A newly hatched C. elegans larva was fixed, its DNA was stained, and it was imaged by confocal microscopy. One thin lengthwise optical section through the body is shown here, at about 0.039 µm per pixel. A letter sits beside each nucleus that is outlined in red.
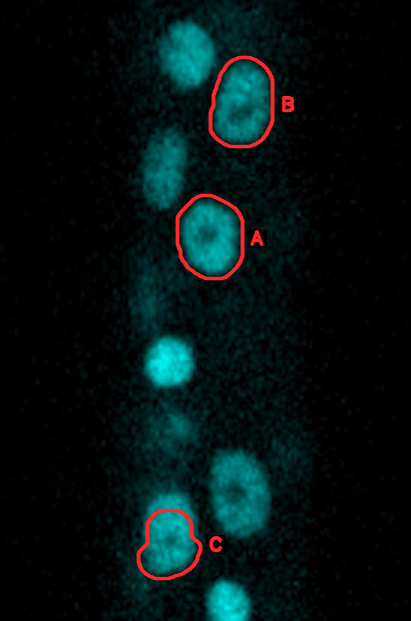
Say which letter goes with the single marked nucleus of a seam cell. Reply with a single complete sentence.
A is the one that belongs to a seam cell.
